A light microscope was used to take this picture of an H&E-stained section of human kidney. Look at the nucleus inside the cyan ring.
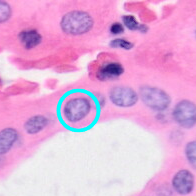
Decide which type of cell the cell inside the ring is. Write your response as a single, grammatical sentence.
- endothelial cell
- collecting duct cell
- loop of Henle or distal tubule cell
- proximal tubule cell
Speaking plainly, the cell inside the ring is nothing other than a collecting duct cell.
